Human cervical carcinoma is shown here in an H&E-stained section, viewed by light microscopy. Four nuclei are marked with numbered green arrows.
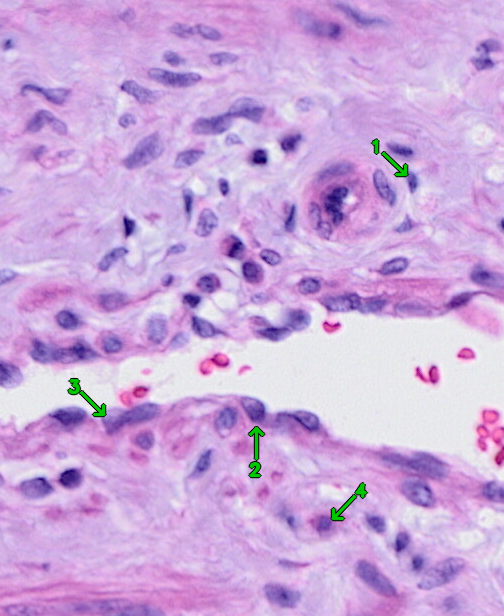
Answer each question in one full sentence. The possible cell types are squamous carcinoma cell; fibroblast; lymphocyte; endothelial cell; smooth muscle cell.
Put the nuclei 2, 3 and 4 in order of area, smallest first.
By area, going up from the smallest, they rank 4, 3, 2.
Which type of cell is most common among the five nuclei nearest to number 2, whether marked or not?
The majority of the five nuclei closest to number 2 belong to endothelial cells.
